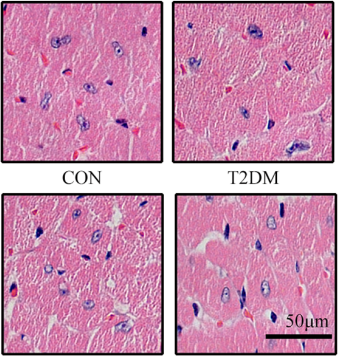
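Heart muscle in cross and oblique section shows cardiomyocytes with pink, finely granular cytoplasm and oval, centrally placed blue-purple nuclei. The fibres are packed closely with narrow pale spaces between them and scattered small dark nuclei of interstitial cells.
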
